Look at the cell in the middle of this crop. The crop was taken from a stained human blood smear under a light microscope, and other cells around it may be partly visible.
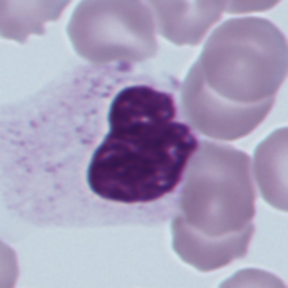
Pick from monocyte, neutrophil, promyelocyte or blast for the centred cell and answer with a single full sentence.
For this crop, the cell in the middle is a neutrophil.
